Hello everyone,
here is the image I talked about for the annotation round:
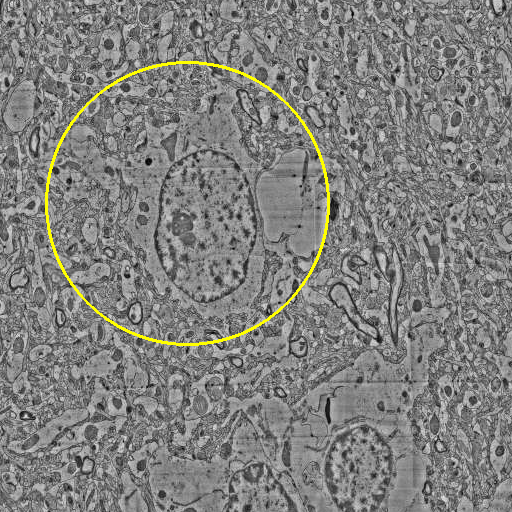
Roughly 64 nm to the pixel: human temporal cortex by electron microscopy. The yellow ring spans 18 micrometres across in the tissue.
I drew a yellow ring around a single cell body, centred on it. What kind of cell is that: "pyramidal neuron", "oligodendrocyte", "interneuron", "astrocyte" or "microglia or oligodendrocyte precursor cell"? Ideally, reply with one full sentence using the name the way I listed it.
The cell your yellow ring is centred on is an astrocyte, going by your list.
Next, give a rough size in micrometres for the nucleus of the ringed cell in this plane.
The nucleus is approximately 10 micrometers long by 7 micrometers wide in this plane.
